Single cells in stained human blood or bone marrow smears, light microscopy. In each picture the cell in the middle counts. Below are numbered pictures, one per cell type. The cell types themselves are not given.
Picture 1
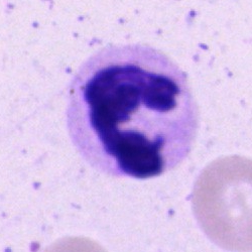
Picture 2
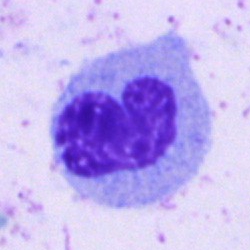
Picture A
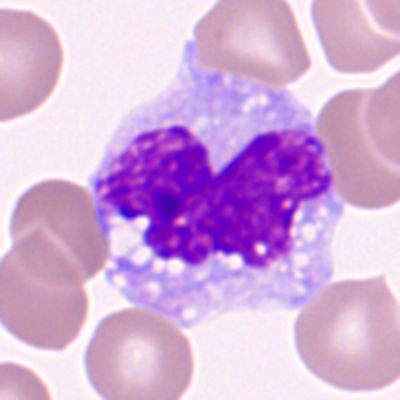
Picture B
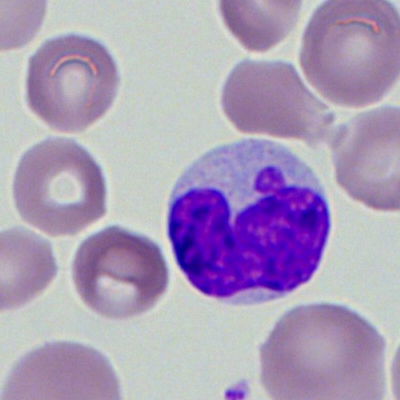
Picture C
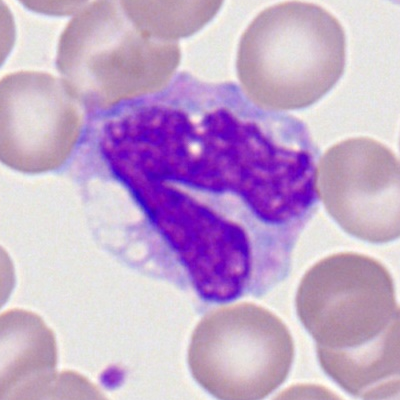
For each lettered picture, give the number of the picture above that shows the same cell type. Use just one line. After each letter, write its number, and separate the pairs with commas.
A 2, B 2, C 2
